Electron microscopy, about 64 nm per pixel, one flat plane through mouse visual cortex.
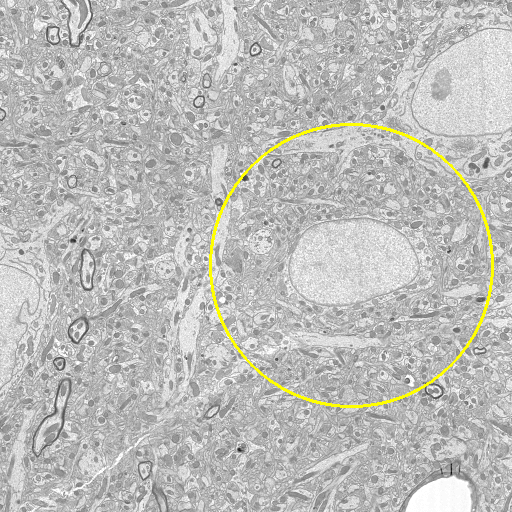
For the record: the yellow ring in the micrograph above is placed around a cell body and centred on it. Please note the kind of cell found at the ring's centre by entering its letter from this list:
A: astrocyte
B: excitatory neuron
A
